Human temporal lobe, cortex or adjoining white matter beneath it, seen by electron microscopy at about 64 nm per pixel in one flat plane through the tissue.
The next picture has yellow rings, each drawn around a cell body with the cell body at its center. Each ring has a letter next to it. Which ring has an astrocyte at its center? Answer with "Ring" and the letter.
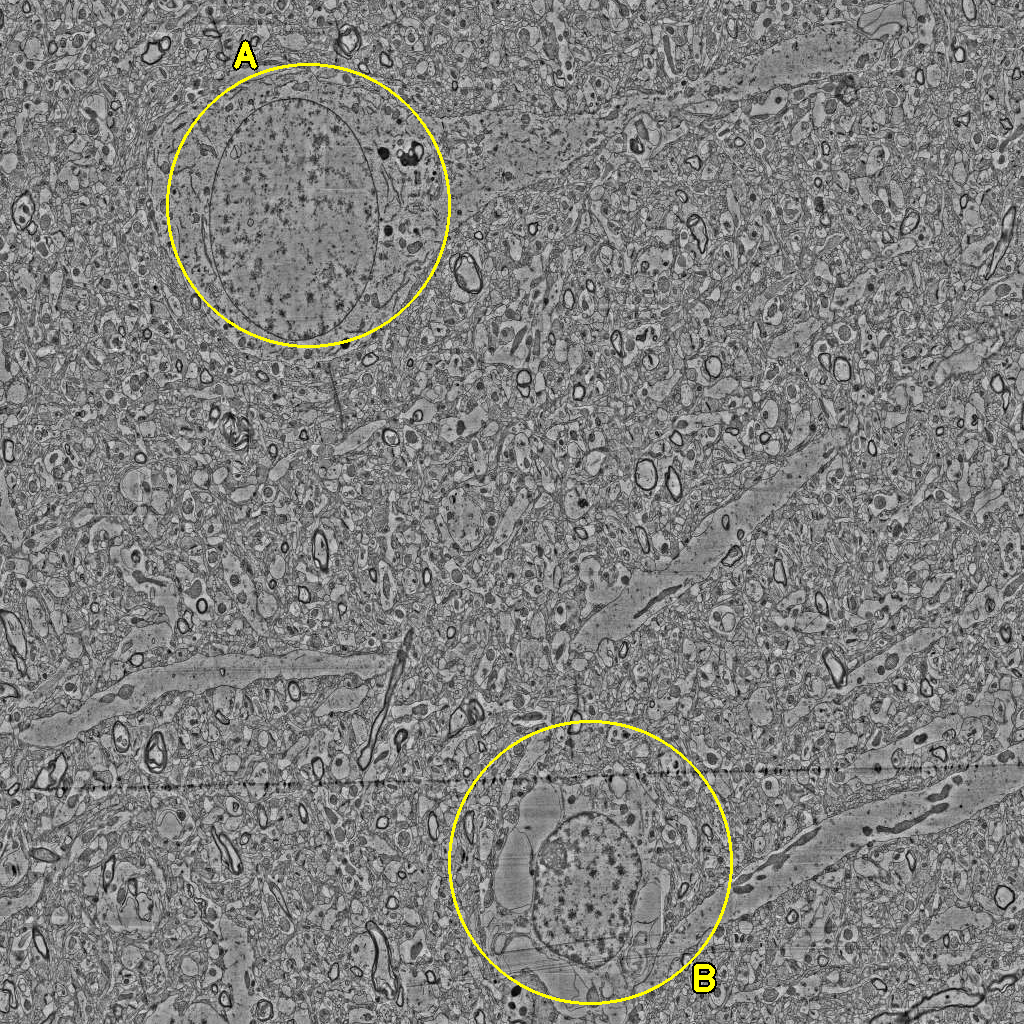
Ring B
